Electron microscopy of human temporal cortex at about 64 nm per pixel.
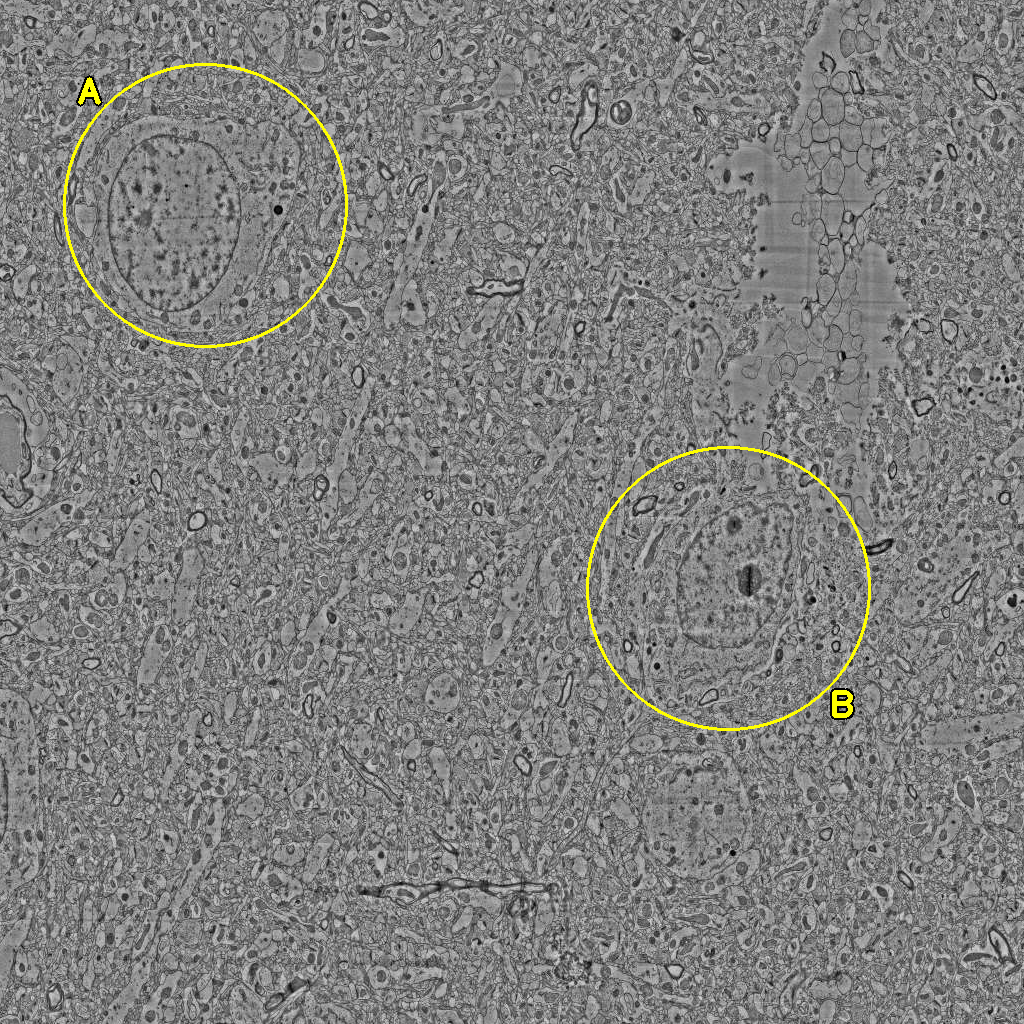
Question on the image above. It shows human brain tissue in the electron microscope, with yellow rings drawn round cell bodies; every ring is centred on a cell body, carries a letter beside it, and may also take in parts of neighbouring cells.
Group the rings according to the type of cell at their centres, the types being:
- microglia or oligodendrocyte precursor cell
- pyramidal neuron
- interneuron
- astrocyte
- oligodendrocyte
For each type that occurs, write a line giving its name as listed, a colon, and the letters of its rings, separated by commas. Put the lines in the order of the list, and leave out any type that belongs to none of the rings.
pyramidal neuron: A
interneuron: B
